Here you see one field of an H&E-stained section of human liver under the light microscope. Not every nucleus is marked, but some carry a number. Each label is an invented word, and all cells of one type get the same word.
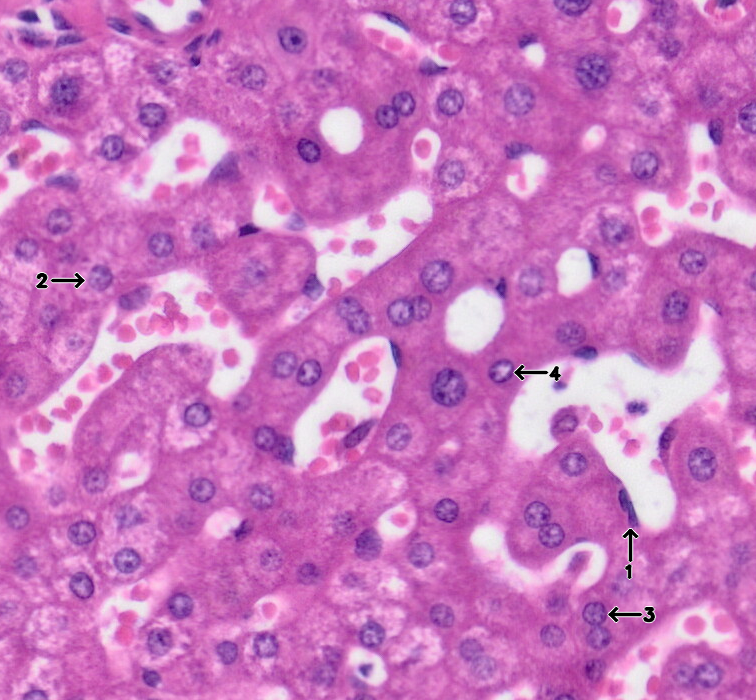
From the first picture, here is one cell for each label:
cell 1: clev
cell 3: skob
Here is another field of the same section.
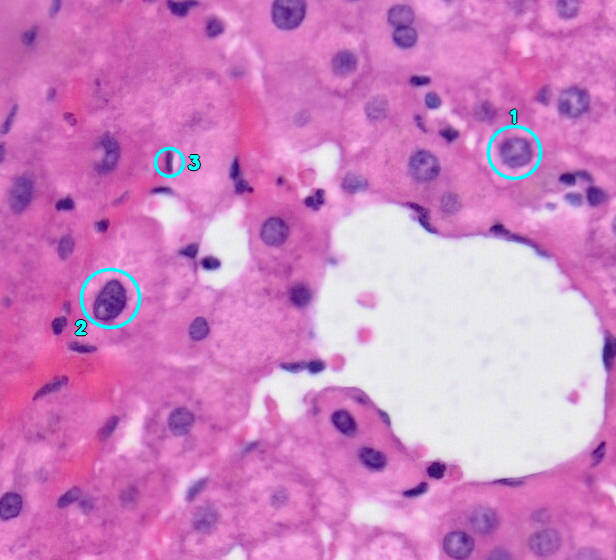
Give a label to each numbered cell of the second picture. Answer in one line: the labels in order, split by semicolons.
skob; skob; clev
